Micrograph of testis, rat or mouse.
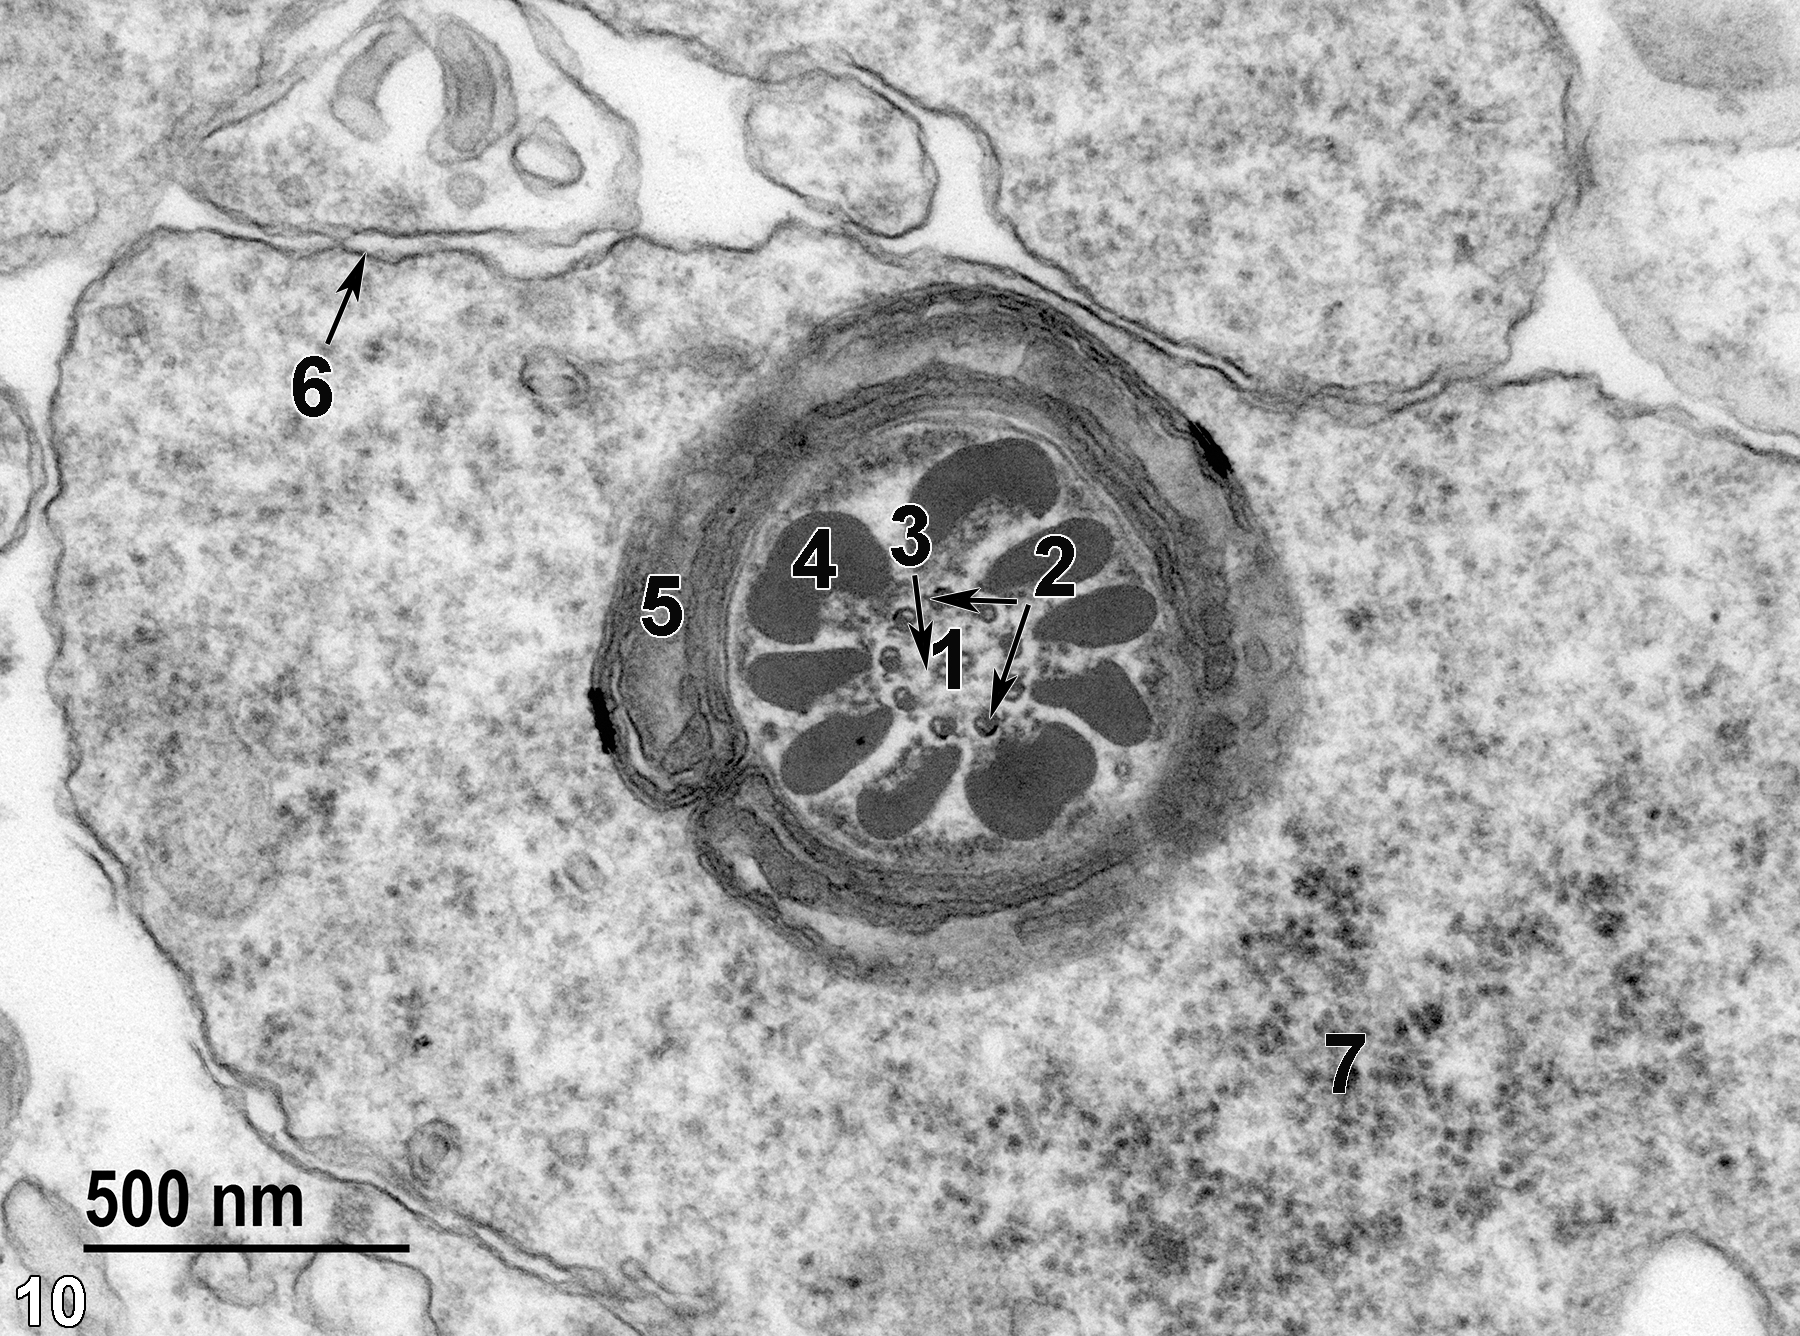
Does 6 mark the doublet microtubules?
No. The plasma membrane.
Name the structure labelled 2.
doublet microtubules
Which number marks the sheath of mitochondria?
5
